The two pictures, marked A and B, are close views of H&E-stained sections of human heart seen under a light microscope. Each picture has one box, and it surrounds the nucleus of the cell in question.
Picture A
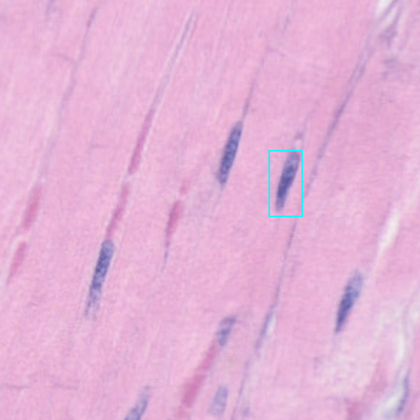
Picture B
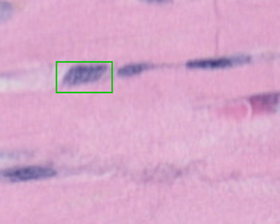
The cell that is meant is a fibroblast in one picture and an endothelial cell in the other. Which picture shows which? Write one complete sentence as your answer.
The cell in picture A is an endothelial cell, and the one in picture B is a fibroblast.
